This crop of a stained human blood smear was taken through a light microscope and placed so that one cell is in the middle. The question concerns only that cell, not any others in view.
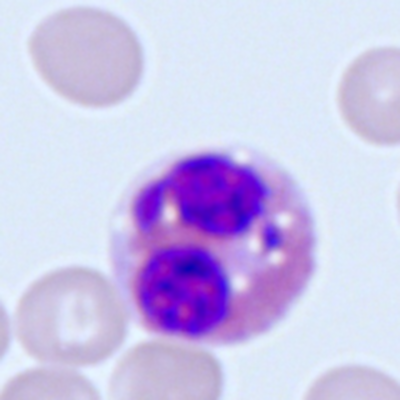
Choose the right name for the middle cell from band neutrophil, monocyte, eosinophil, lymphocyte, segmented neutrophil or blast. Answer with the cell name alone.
eosinophil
